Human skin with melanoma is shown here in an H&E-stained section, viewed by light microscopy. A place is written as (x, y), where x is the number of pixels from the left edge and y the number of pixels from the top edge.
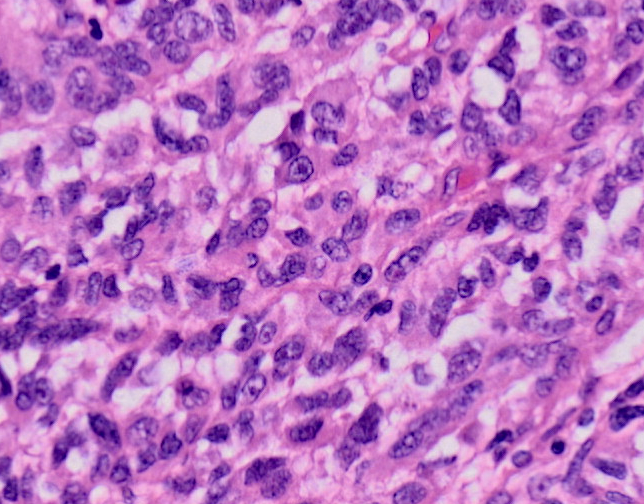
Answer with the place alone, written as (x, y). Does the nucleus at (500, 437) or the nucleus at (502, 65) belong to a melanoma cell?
(502, 65)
